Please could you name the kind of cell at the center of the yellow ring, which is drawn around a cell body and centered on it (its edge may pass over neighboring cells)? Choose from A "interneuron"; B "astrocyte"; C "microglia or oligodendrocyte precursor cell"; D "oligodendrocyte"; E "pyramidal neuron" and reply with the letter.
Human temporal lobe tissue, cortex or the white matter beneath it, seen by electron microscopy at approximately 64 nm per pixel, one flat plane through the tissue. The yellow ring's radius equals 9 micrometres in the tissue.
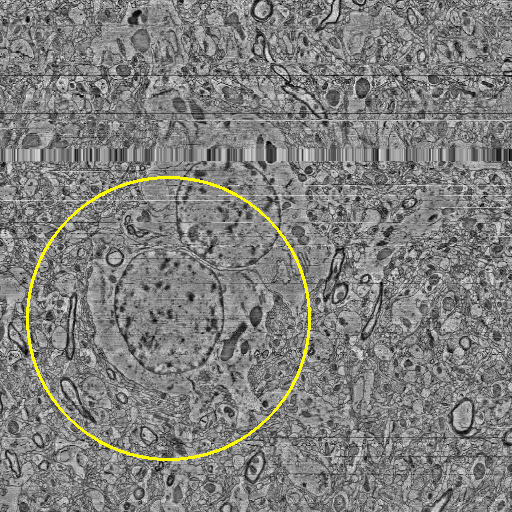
B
